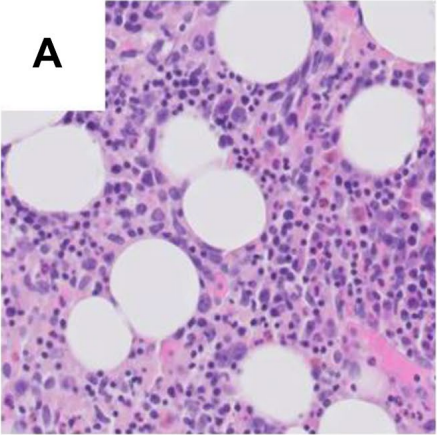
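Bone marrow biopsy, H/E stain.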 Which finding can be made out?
Interstitial infiltrate of atypical lymphoid cells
